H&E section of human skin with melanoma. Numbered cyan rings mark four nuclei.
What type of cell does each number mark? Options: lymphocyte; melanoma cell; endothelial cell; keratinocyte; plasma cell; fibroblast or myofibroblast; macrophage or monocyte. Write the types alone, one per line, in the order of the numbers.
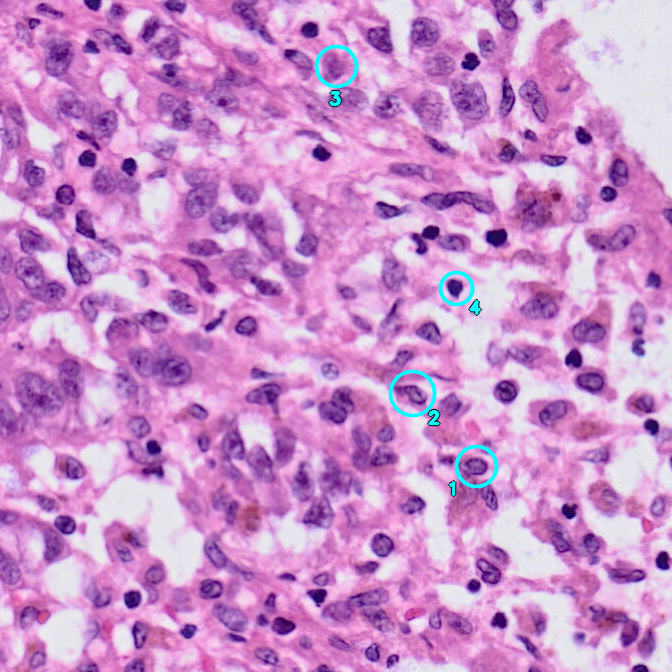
macrophage or monocyte
macrophage or monocyte
melanoma cell
lymphocyte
